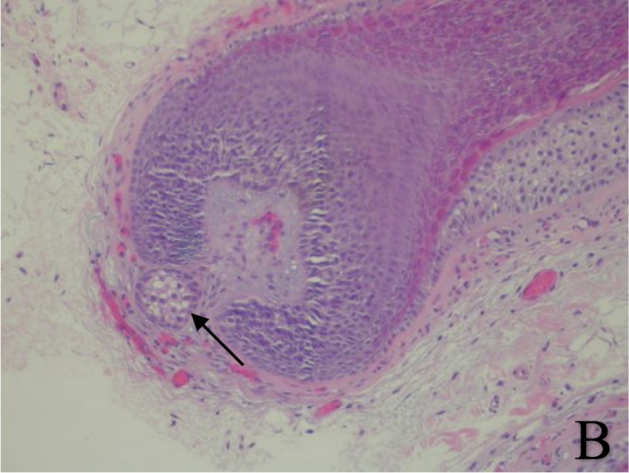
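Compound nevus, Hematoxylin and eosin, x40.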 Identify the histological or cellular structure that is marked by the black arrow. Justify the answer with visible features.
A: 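Sebaceous gland. A small round nest of pale, bubbly cells at the base of a hair bulb. The nest contrasts with the dense purple bulb epithelium around it.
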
